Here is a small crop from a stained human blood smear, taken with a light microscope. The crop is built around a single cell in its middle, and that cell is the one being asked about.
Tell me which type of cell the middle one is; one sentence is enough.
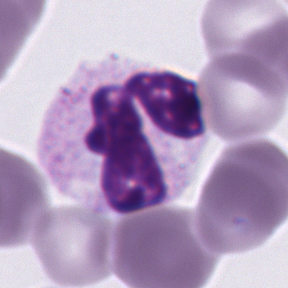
The cell nearest the centre of this crop is a segmented neutrophil.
